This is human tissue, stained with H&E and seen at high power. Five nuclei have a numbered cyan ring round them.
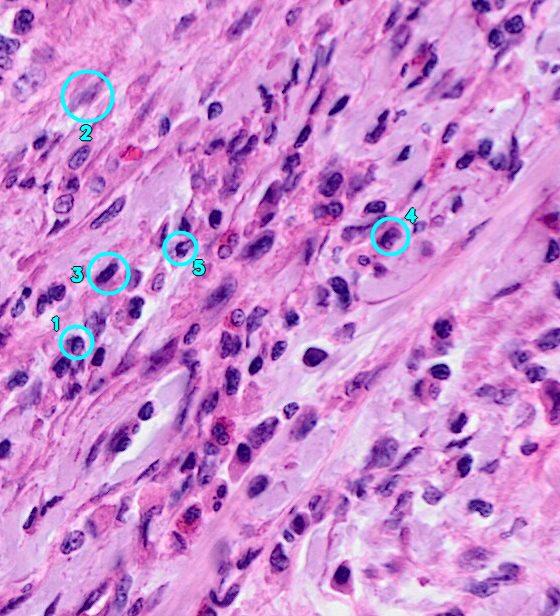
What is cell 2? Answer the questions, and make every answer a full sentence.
Within this field of view, the cell labelled 2 is a fibroblast.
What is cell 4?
The cell that bears the number 4 is a macrophage or monocyte.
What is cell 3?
The cell identified by the number 3 is a lymphocyte.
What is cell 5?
The cell whose nucleus carries the number 5 is a lymphocyte.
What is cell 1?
What the number 1 marks in this field is a lymphocyte.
